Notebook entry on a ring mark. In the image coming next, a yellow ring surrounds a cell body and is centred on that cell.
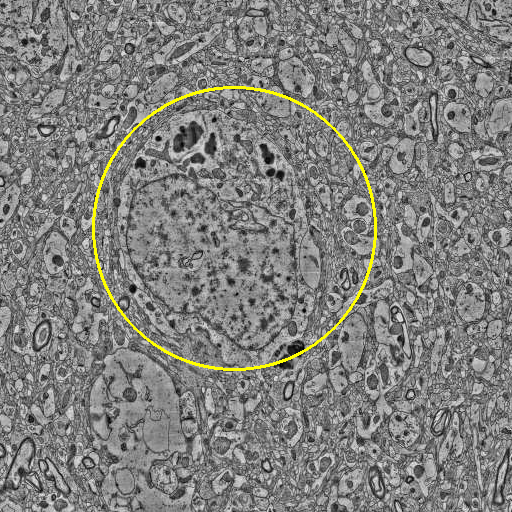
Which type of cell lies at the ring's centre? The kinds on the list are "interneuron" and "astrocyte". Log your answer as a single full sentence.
Centred in the yellow ring is an interneuron, the cell recorded for this image.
